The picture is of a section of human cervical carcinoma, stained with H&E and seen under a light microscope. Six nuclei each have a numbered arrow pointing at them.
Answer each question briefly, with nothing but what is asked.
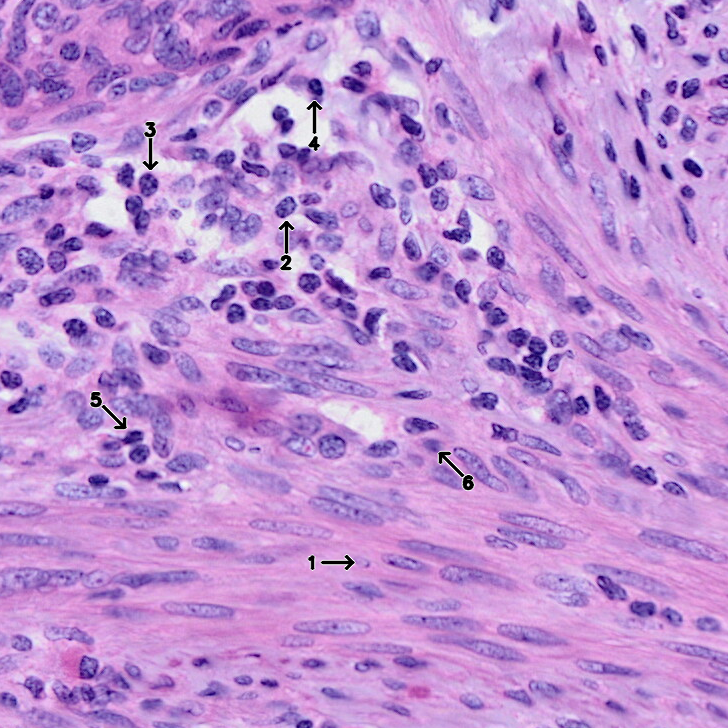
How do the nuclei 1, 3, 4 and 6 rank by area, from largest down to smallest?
3, 4, 6, 1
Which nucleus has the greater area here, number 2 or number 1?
2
